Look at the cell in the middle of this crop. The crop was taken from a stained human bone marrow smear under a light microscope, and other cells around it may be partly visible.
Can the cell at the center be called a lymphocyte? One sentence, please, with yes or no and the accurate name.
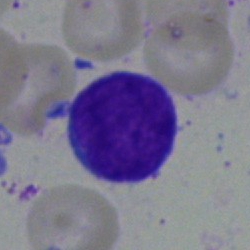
Yes, the cell that the crop is centred on is a lymphocyte.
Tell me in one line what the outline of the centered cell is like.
The outline traces a smooth curve with no projections along it.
